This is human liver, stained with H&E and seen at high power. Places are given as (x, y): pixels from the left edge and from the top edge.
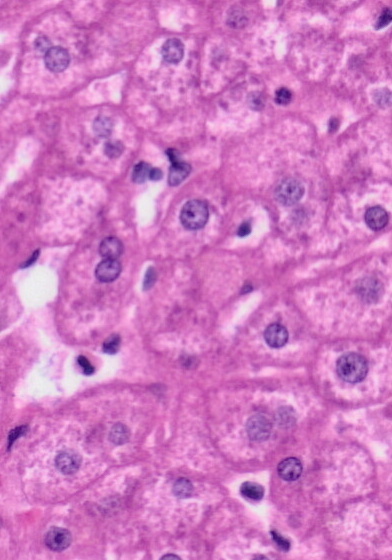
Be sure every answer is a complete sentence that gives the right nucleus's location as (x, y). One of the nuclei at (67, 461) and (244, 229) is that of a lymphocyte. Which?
Housed in a lymphocyte is the nucleus at (244, 229), not the other one.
